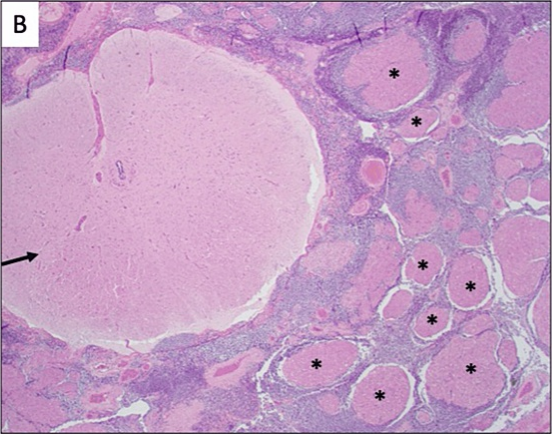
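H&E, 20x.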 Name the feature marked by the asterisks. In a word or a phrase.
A: Individual nerve roots.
